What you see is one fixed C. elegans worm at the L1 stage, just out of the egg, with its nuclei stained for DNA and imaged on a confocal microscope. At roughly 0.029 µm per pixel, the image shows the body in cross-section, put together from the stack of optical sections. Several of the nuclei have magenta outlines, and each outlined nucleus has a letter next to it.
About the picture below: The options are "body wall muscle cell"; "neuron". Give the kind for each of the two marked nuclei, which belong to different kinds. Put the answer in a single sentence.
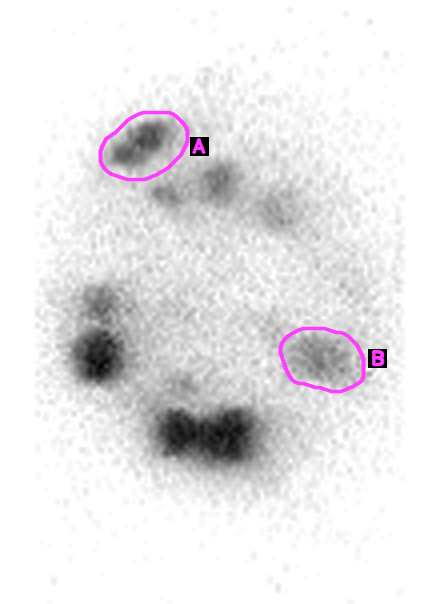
A belongs to a body wall muscle cell and B to a neuron.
